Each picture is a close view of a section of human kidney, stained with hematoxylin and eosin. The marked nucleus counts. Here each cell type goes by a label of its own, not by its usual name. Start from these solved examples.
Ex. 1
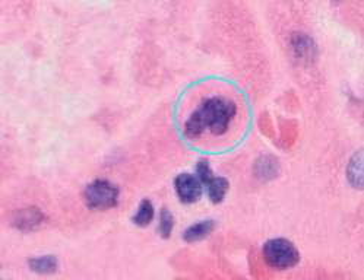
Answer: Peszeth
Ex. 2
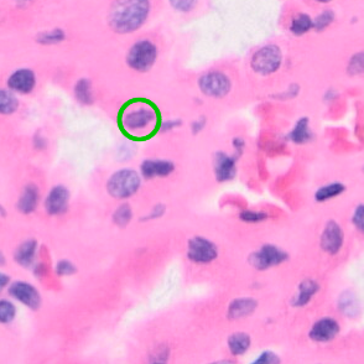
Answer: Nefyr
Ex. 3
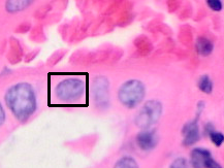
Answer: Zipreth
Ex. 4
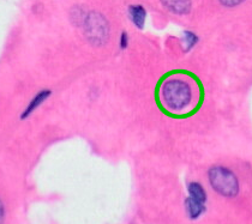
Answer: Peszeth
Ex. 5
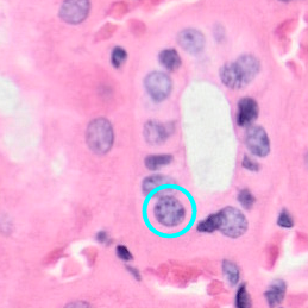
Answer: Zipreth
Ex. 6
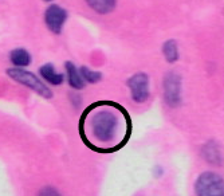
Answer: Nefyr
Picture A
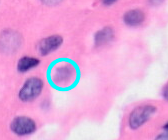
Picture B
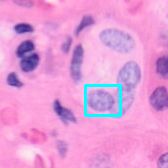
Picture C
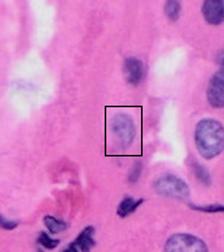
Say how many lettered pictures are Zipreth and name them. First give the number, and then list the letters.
Count: 2 (B, C)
